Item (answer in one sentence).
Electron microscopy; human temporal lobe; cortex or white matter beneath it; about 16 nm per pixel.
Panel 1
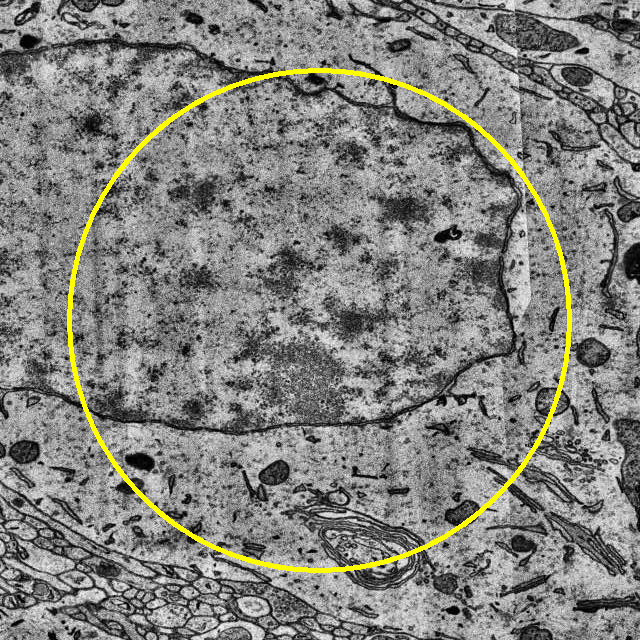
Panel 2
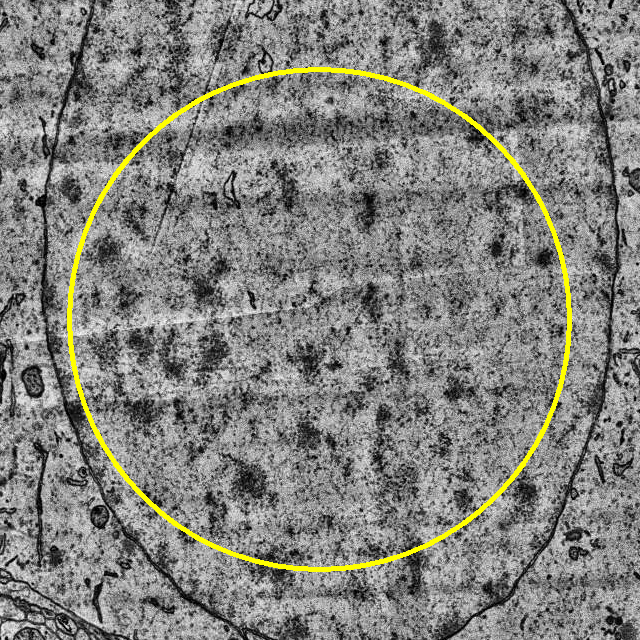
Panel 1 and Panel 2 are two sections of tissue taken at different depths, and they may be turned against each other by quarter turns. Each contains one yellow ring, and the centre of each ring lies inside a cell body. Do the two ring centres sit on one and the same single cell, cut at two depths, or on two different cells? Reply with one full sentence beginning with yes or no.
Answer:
No, two different cells appear inside the two yellow rings.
